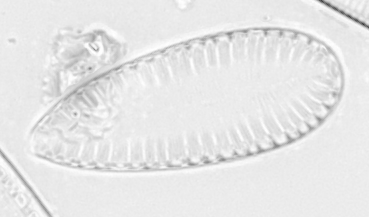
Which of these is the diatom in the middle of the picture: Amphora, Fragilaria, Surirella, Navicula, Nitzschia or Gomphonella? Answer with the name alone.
Surirella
